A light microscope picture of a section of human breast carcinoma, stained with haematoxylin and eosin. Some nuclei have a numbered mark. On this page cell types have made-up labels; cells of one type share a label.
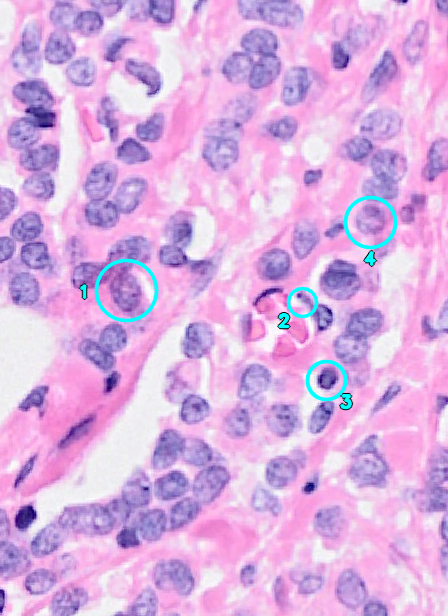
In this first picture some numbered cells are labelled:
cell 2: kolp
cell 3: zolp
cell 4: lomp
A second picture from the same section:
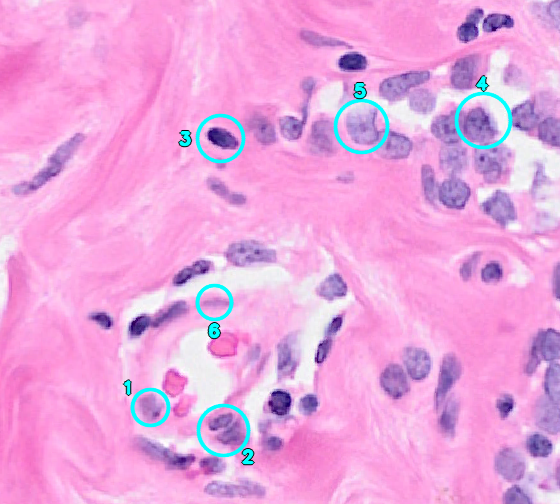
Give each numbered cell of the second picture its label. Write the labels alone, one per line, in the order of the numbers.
kolp
kolp
zolp
lomp
lomp
kolp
